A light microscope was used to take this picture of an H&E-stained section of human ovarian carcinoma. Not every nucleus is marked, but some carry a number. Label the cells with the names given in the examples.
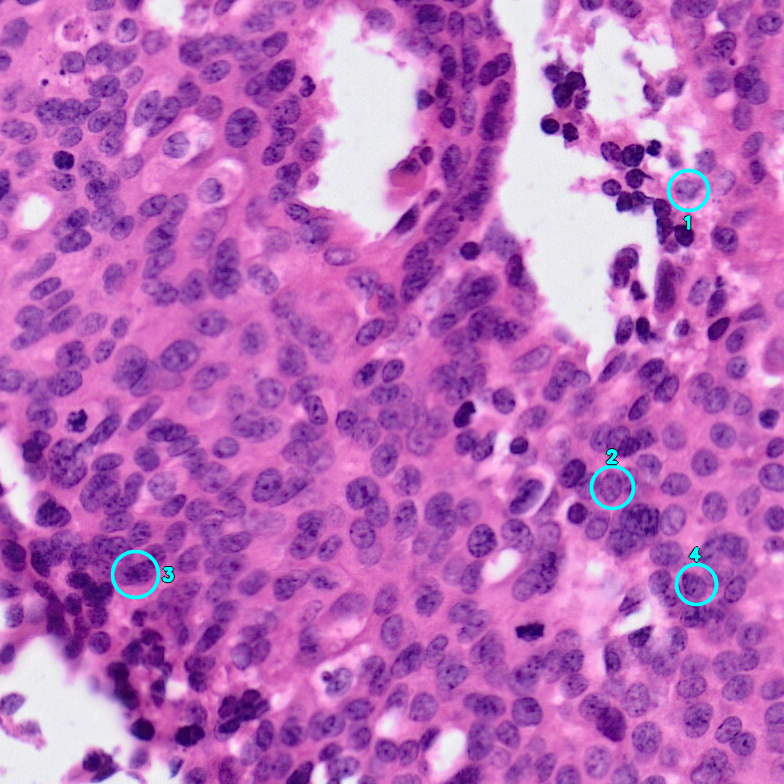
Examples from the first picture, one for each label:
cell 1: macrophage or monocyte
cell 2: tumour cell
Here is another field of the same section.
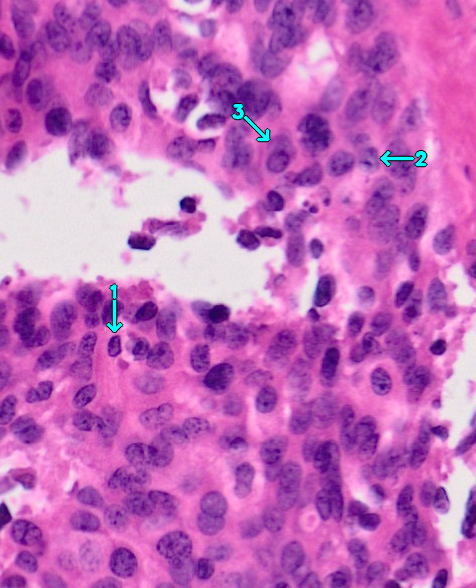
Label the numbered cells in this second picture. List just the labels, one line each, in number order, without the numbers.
macrophage or monocyte
macrophage or monocyte
tumour cell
